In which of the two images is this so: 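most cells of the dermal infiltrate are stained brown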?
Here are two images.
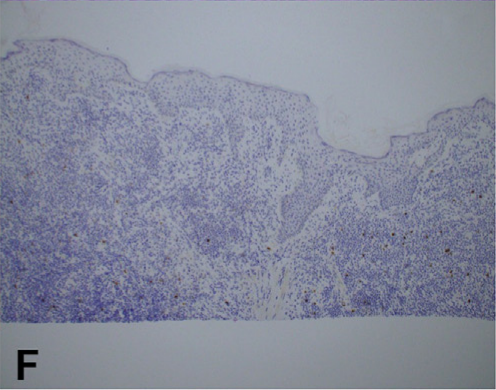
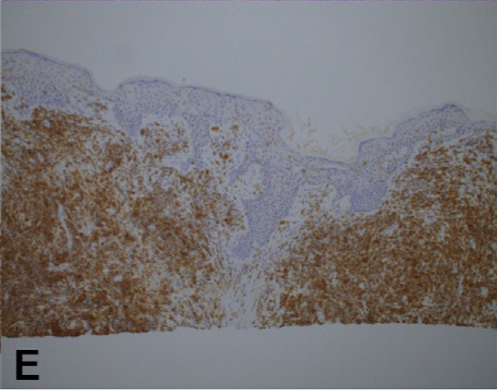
The second image.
